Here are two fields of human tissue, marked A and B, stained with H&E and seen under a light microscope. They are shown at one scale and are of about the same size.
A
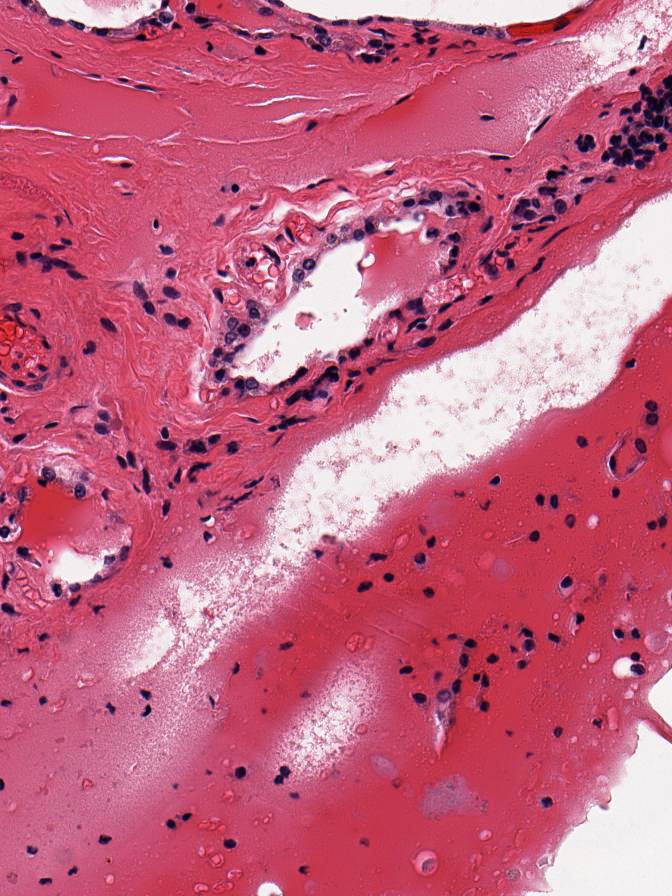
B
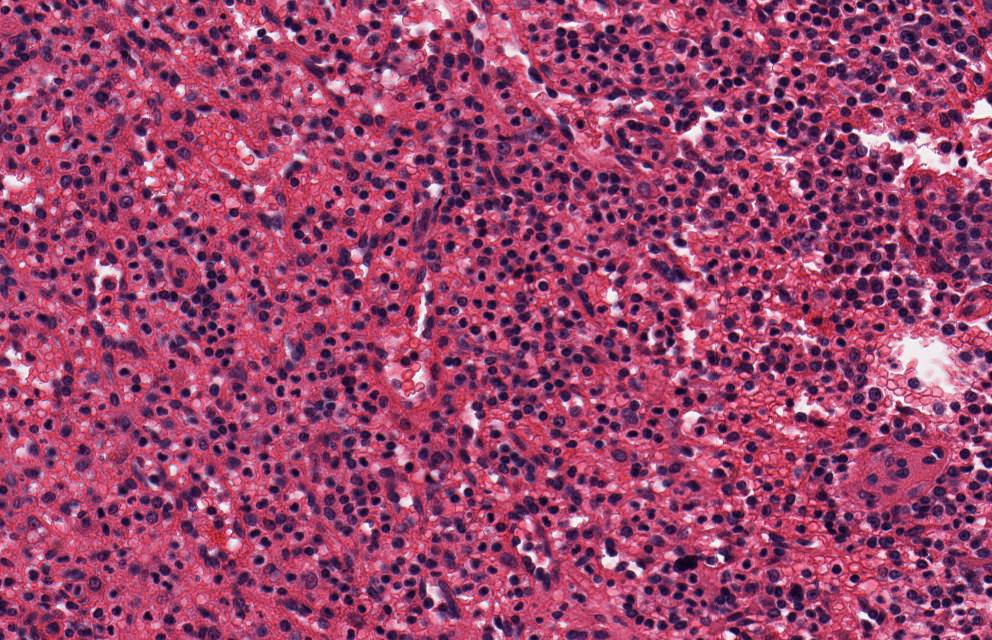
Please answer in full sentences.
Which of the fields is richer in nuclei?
There are more nuclei in field B.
